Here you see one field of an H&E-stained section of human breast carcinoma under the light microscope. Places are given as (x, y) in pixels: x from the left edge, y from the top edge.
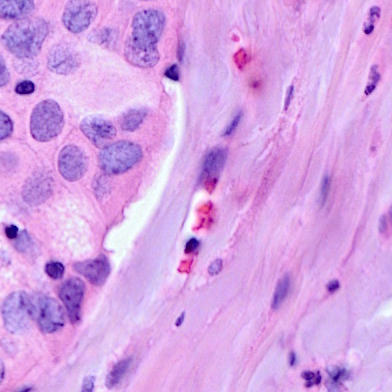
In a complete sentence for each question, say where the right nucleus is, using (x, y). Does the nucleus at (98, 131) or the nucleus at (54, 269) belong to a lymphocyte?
Out of the two, it is the nucleus at (54, 269) that belongs to a lymphocyte.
